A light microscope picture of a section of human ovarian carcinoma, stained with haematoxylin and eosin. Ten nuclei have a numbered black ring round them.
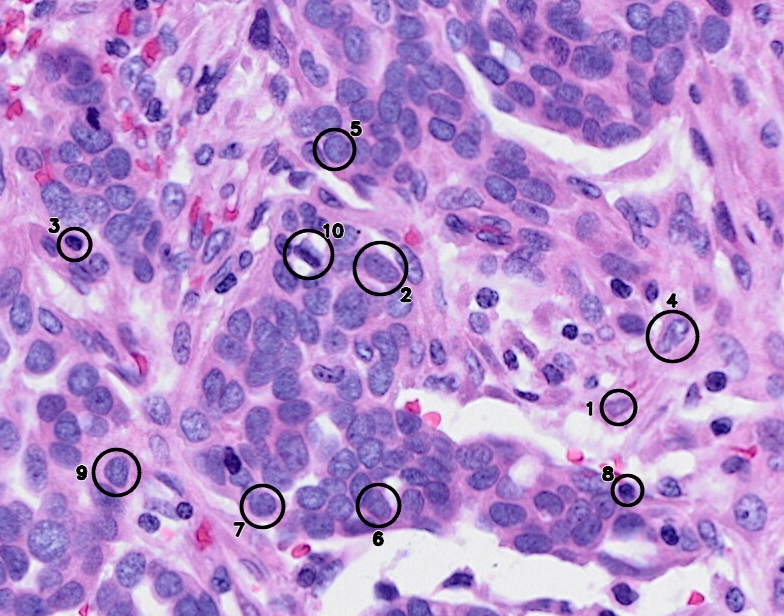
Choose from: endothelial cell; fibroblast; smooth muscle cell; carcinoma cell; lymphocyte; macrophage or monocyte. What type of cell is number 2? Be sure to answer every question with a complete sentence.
The cell given label 2 is a carcinoma cell.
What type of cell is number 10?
The cell indicated by marker 10 is a carcinoma cell in this section.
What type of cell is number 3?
What the number 3 marks in this field is a lymphocyte.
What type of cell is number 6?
The cell indicated with the number 6 is classed as a carcinoma cell.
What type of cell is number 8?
To a lymphocyte belongs the nucleus marked 8.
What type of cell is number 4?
Within this field of view, the cell labelled 4 is a fibroblast.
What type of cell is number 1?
Among the marked nuclei, number 1 belongs to a fibroblast.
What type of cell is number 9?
Here the cell numbered 9 is a carcinoma cell.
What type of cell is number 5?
Heads up, the cell numbered 5 is a carcinoma cell.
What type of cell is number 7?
To a carcinoma cell belongs the nucleus marked 7.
